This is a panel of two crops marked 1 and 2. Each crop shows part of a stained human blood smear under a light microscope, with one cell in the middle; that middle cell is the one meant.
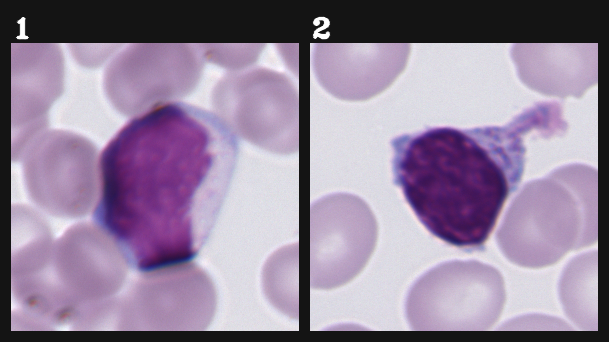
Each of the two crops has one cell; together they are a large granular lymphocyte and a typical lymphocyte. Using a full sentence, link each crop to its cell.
The designated cell in crop 1 is a large granular lymphocyte, and the designated cell in crop 2 is a typical lymphocyte.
